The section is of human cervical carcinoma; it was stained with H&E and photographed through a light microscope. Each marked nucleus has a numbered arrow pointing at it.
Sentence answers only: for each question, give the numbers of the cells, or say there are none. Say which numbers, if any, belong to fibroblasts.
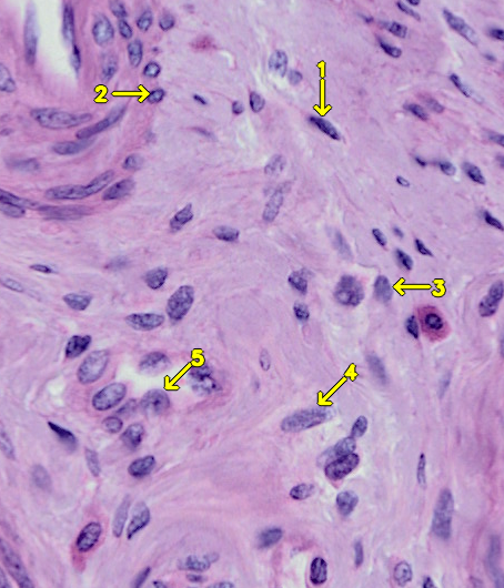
By cell type, the cells numbered 1, 3 and 4 are fibroblasts.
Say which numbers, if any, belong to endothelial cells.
Among the labelled cells, only the cell labelled 5 is an endothelial cell.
